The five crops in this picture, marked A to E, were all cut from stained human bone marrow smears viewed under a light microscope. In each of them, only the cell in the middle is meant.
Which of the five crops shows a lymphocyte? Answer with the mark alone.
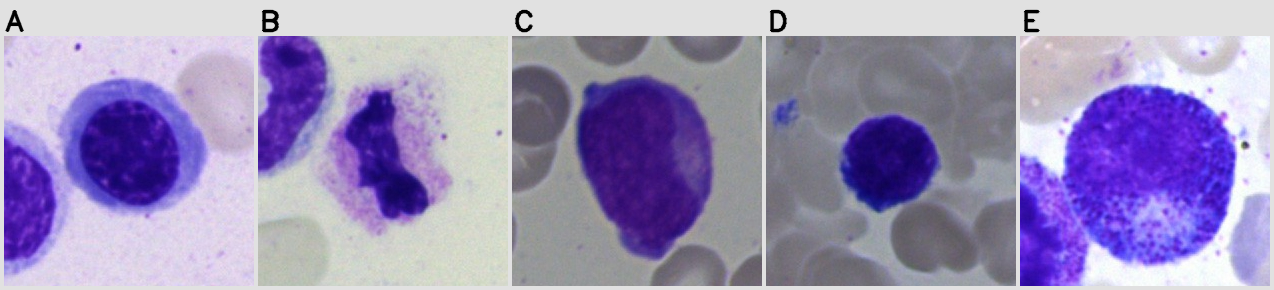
D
